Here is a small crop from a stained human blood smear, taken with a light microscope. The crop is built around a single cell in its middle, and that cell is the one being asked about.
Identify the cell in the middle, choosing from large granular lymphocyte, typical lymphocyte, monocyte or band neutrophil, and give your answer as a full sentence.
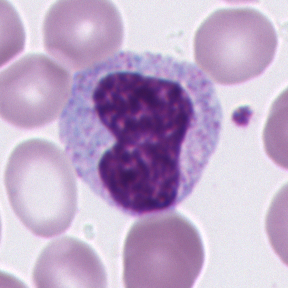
Standing at the centre of this crop is a band neutrophil.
